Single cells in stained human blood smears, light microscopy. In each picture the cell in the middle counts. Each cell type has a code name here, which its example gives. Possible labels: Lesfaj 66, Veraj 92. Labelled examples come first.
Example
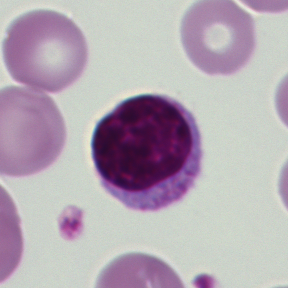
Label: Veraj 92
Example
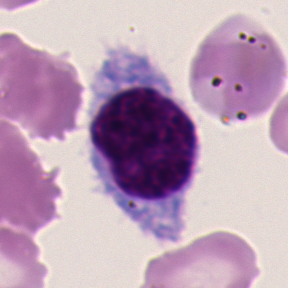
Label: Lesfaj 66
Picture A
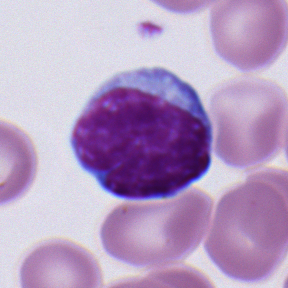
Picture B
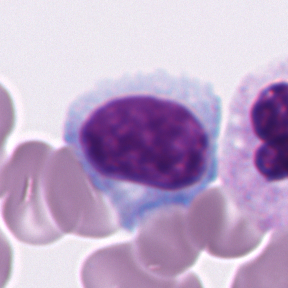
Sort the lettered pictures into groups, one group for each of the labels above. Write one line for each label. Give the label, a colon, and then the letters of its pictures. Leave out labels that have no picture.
Veraj 92: A, B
